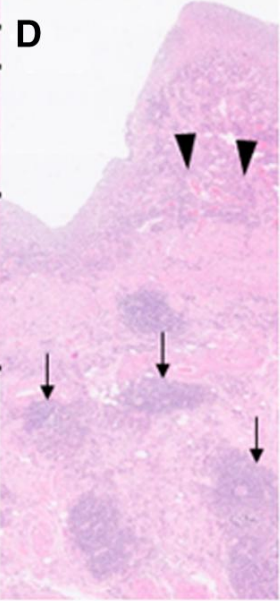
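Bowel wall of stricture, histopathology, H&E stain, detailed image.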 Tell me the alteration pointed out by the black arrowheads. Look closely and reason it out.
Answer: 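The arrowheads point to the surface layer near the top of the tissue. That area is crowded with cells and has patchy pink-red areas. On this evidence: mucosal inflammation.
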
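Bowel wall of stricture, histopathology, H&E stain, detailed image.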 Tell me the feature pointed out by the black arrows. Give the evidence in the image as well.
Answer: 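The arrows point to rounded, densely purple clusters of small cells. The clusters lie in paler pink tissue below the surface.
Submucosal aggregates of lymphocytes.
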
